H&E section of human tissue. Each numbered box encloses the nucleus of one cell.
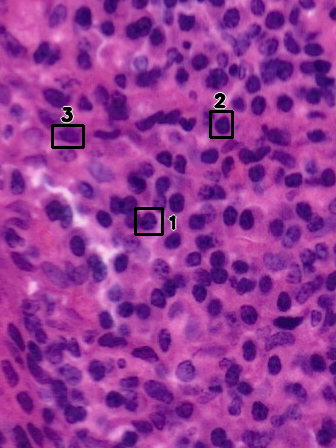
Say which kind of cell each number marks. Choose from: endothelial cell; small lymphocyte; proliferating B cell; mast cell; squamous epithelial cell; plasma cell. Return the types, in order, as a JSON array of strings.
["plasma cell", "plasma cell", "squamous epithelial cell"]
